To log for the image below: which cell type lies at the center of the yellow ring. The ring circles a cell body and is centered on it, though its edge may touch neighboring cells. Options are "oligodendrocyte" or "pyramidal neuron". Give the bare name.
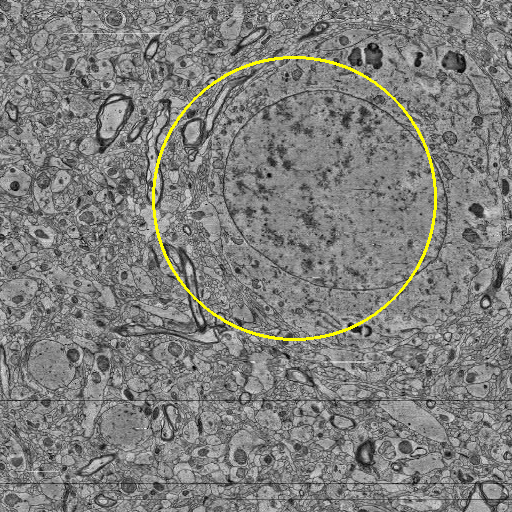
pyramidal neuron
